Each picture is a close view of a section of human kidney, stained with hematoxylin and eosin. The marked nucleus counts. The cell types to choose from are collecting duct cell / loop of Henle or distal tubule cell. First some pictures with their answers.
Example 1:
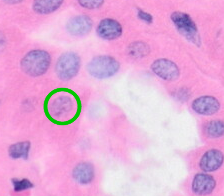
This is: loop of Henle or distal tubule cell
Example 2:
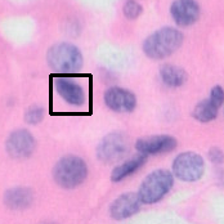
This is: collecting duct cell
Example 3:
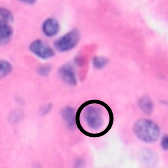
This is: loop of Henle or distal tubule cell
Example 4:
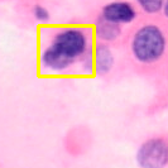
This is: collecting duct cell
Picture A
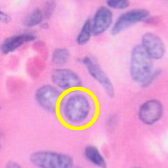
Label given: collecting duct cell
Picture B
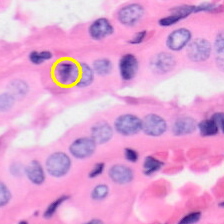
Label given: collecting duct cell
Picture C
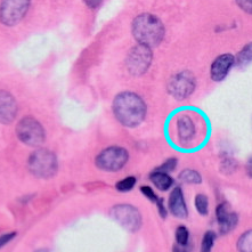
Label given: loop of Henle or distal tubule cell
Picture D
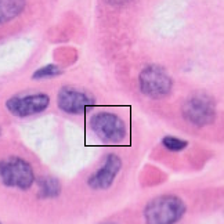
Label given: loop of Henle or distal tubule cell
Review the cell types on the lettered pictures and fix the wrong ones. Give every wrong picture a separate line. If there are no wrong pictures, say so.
D is labelled loop of Henle or distal tubule cell; correct label: collecting duct cell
